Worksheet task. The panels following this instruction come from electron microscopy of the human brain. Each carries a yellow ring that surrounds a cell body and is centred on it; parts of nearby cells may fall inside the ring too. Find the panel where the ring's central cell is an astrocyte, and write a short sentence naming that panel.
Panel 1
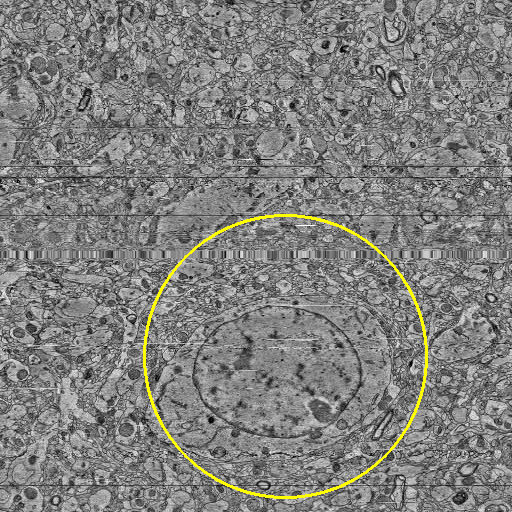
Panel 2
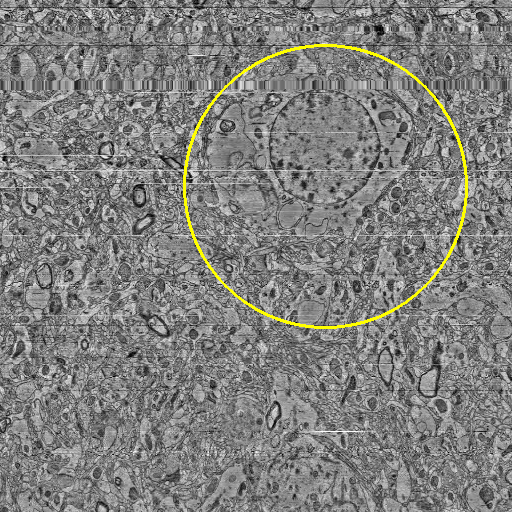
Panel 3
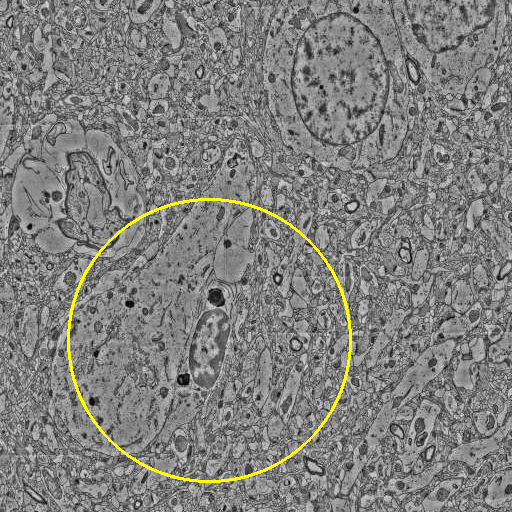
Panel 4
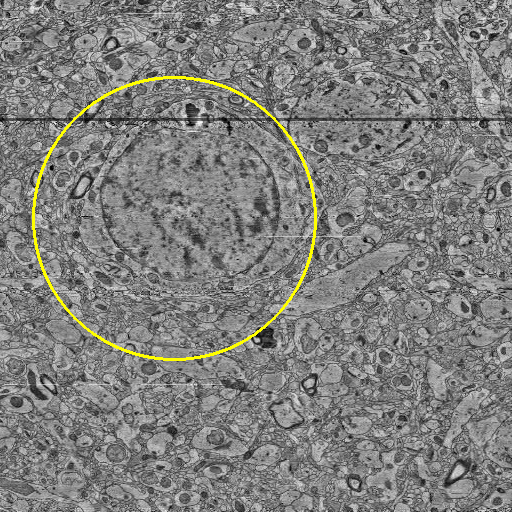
The cell sought is in Panel 2.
